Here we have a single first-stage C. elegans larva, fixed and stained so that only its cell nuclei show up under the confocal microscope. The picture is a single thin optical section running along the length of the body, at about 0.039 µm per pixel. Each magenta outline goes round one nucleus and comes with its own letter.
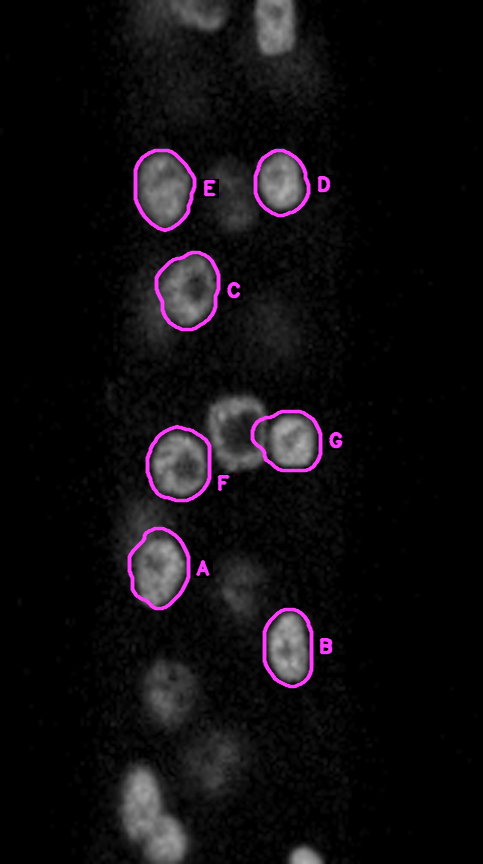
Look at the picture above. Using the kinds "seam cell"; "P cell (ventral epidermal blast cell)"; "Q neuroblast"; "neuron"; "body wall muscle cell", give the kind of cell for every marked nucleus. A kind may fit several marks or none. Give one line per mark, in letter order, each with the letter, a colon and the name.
A: P cell (ventral epidermal blast cell)
B: body wall muscle cell
C: seam cell
D: body wall muscle cell
E: P cell (ventral epidermal blast cell)
F: Q neuroblast
G: body wall muscle cell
